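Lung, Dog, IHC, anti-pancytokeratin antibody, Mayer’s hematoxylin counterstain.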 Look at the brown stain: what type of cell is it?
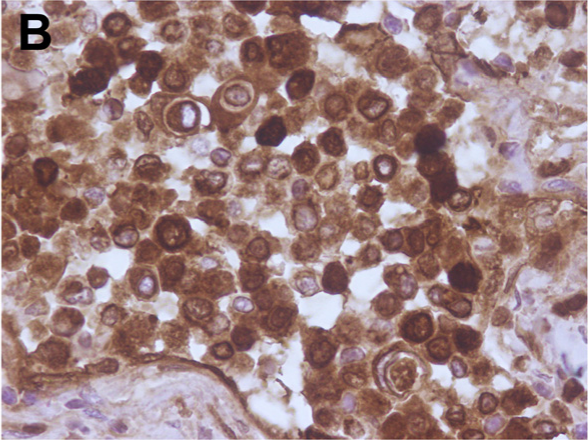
Tumor cells.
